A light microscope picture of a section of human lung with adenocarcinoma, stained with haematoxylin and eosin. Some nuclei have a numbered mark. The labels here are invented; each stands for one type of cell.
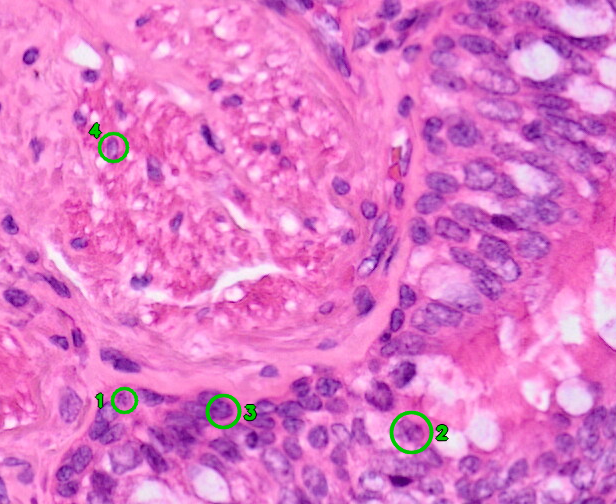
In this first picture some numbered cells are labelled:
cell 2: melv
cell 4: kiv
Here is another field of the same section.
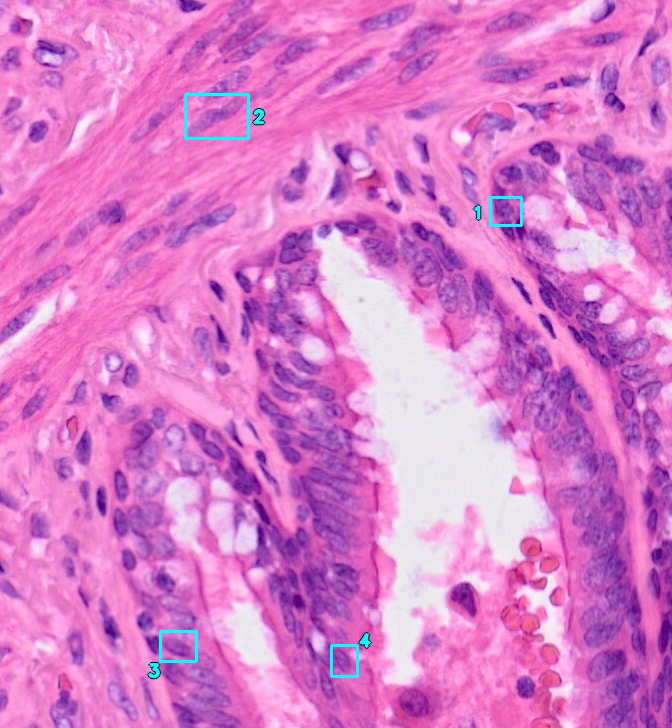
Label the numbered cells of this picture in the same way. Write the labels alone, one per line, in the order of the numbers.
melv
kiv
melv
melv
